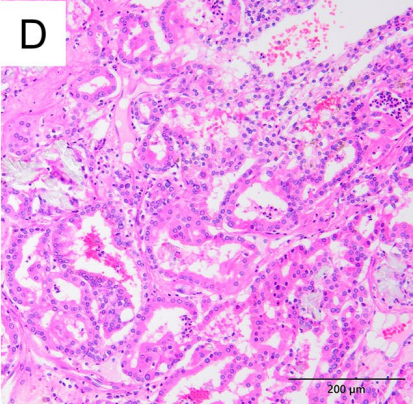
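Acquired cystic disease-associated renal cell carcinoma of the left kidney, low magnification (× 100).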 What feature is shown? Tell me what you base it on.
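Cells are arranged around many small open lumina. The lumina are lined by a single layer of cuboidal cells with round nuclei. Pink stroma lies between the lined spaces. That points to this answer: tubular structures.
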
